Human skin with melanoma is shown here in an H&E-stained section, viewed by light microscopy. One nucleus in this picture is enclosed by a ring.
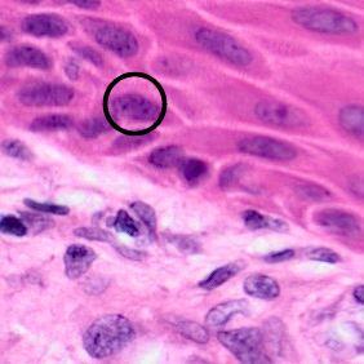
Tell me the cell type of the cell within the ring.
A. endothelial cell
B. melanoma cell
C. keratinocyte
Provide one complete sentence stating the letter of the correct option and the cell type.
That the cell within the ring is a keratinocyte makes option C the correct choice.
